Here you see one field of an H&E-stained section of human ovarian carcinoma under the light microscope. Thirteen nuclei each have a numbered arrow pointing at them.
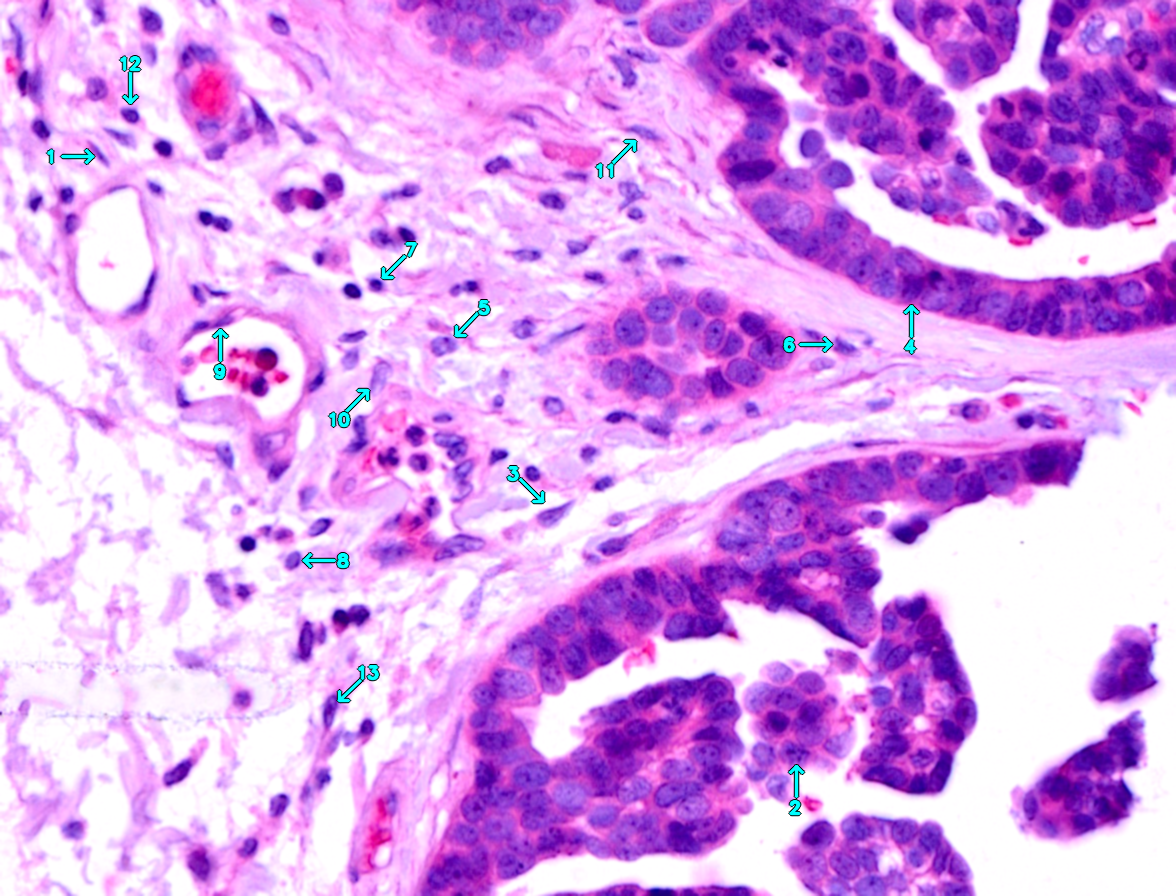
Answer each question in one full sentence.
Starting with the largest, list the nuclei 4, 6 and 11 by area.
Largest first, the order by area is 4, 11, 6.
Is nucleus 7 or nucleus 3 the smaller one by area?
Number 7 is smaller, since number 3 takes up about 2.5 times as much area.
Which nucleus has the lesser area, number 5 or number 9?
Number 9 is smaller, since number 5 takes up about 3 times as much area.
